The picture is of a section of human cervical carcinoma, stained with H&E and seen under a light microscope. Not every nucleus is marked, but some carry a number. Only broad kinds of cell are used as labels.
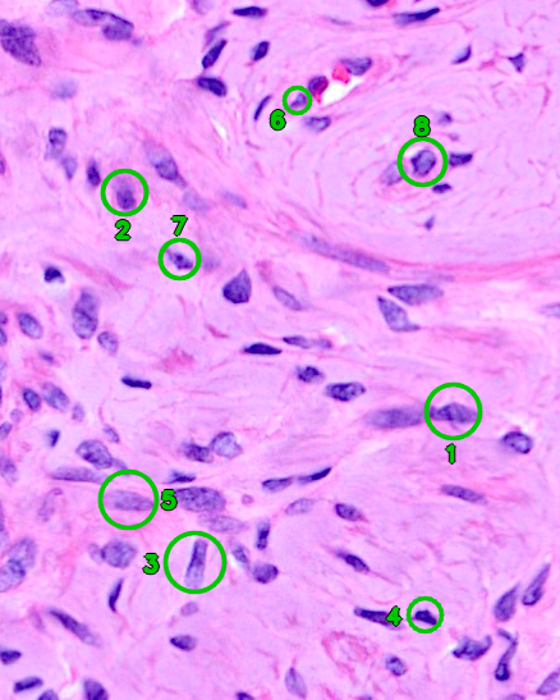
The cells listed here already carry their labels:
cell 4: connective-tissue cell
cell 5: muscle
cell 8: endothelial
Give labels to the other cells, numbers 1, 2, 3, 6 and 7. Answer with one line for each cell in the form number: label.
1: connective-tissue cell
2: muscle
3: connective-tissue cell
6: endothelial
7: connective-tissue cell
